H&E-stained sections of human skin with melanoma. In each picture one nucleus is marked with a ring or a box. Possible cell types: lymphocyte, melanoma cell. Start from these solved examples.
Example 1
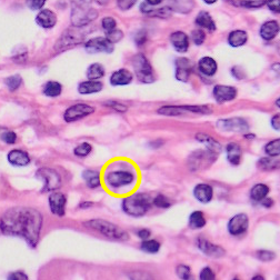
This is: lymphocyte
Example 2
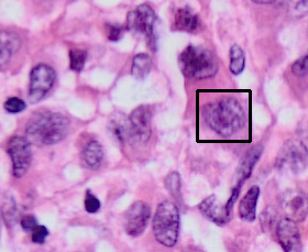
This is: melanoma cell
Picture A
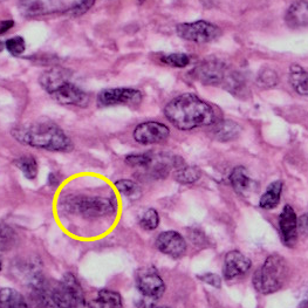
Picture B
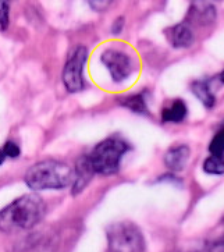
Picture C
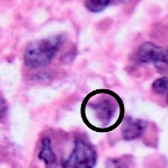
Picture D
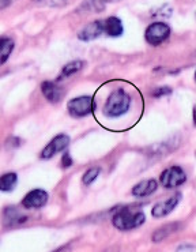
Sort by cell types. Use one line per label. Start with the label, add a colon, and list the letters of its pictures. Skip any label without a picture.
lymphocyte: D
melanoma cell: A, B, C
